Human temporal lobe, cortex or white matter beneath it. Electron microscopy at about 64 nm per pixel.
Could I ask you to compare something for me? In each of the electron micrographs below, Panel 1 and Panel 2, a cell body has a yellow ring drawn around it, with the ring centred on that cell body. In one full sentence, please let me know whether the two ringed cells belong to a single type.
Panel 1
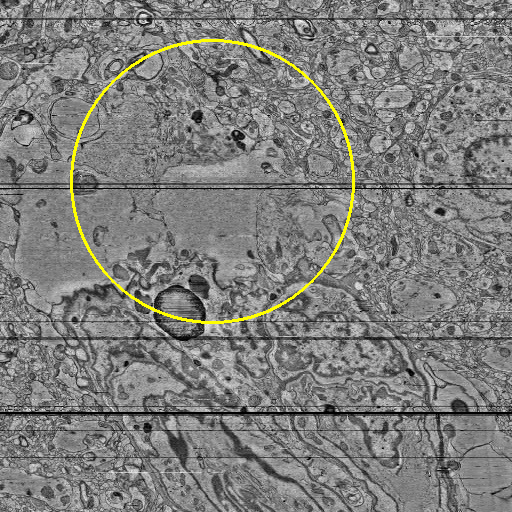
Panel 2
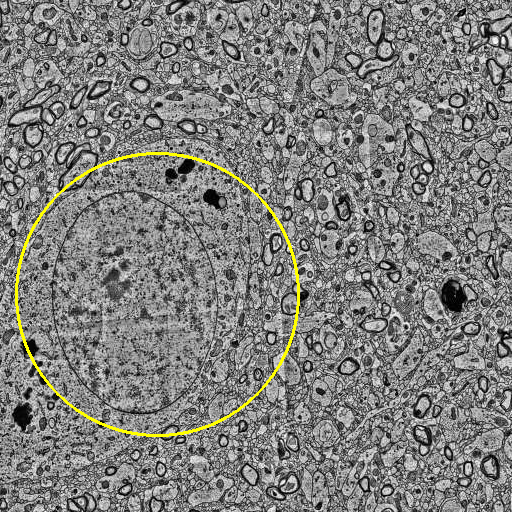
No, the two cells at the centres of the rings are of two types.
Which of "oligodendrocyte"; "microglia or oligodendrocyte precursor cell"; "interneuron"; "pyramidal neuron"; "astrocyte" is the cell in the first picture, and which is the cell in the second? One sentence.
The two differ: the first cell is a microglial cell or oligodendrocyte precursor cell and the second is a pyramidal neuron.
